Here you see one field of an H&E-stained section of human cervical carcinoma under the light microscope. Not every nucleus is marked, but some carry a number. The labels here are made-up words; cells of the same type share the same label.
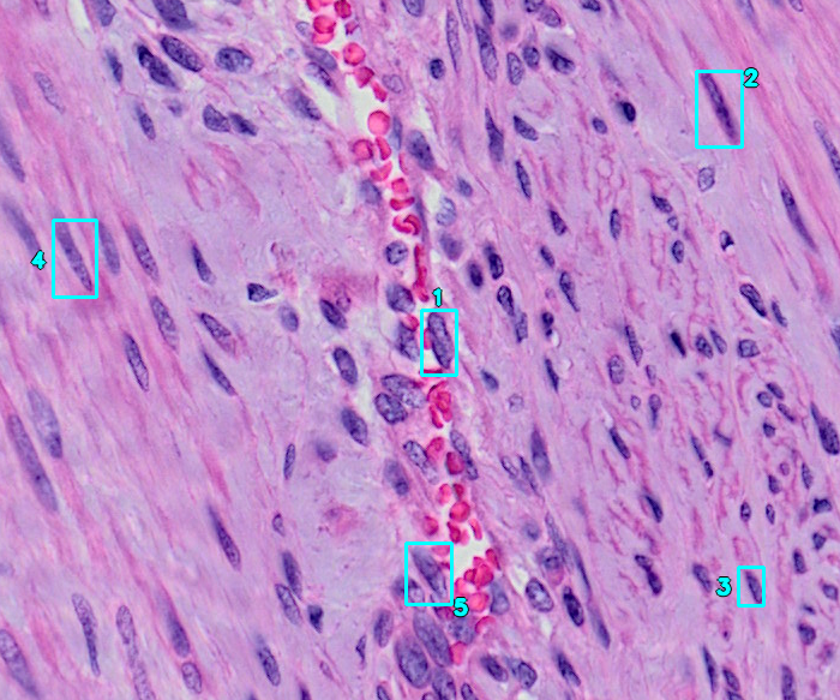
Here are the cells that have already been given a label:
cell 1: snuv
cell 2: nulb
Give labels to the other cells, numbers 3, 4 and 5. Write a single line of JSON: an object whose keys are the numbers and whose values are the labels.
{"3": "nulb", "4": "nulb", "5": "snuv"}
